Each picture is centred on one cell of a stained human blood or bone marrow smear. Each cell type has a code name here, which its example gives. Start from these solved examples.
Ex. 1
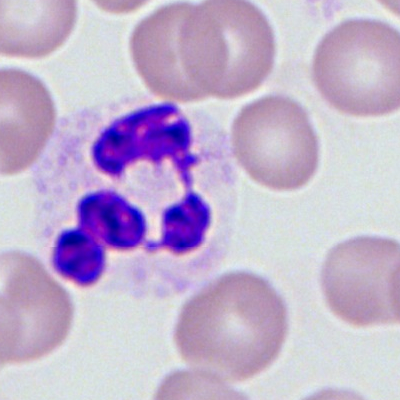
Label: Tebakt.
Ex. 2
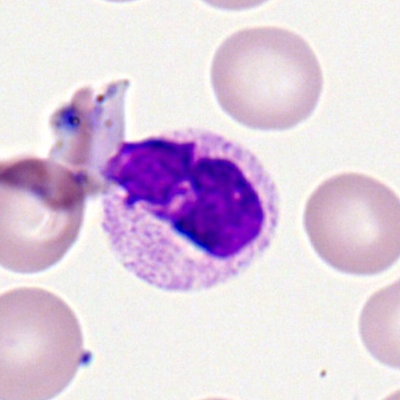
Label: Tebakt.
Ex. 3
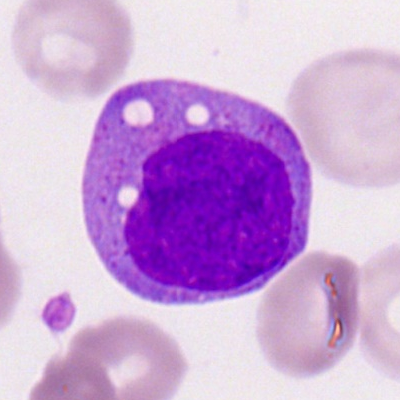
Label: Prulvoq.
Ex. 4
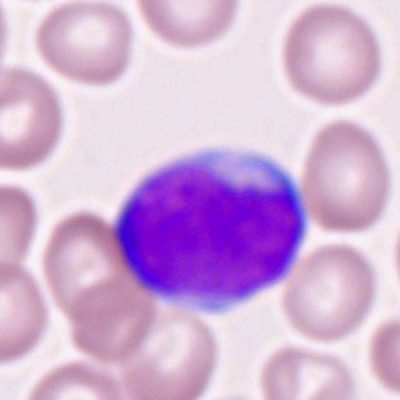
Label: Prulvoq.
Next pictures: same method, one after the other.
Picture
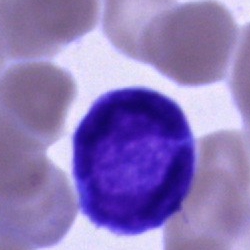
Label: Prulvoq.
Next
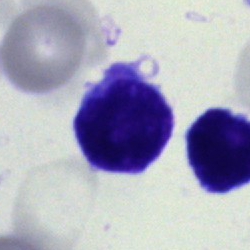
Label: Prulvoq.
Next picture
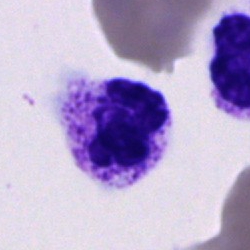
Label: Tebakt.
